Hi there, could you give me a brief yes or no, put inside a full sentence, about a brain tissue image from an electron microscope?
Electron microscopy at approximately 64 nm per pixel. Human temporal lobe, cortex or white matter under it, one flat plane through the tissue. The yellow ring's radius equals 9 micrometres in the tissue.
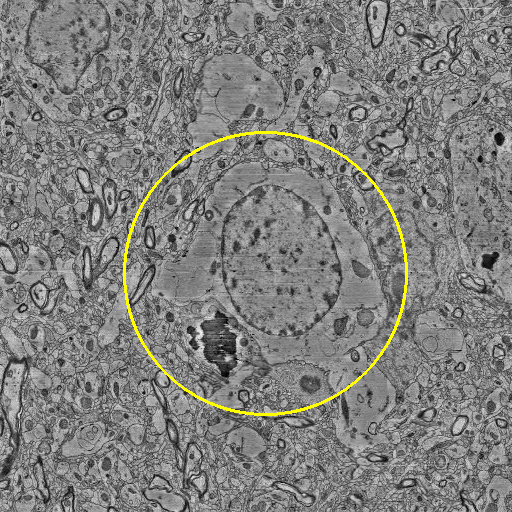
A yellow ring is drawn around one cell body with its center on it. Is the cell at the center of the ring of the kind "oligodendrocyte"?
No, the cell found at the center of the yellow ring is of a different kind.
